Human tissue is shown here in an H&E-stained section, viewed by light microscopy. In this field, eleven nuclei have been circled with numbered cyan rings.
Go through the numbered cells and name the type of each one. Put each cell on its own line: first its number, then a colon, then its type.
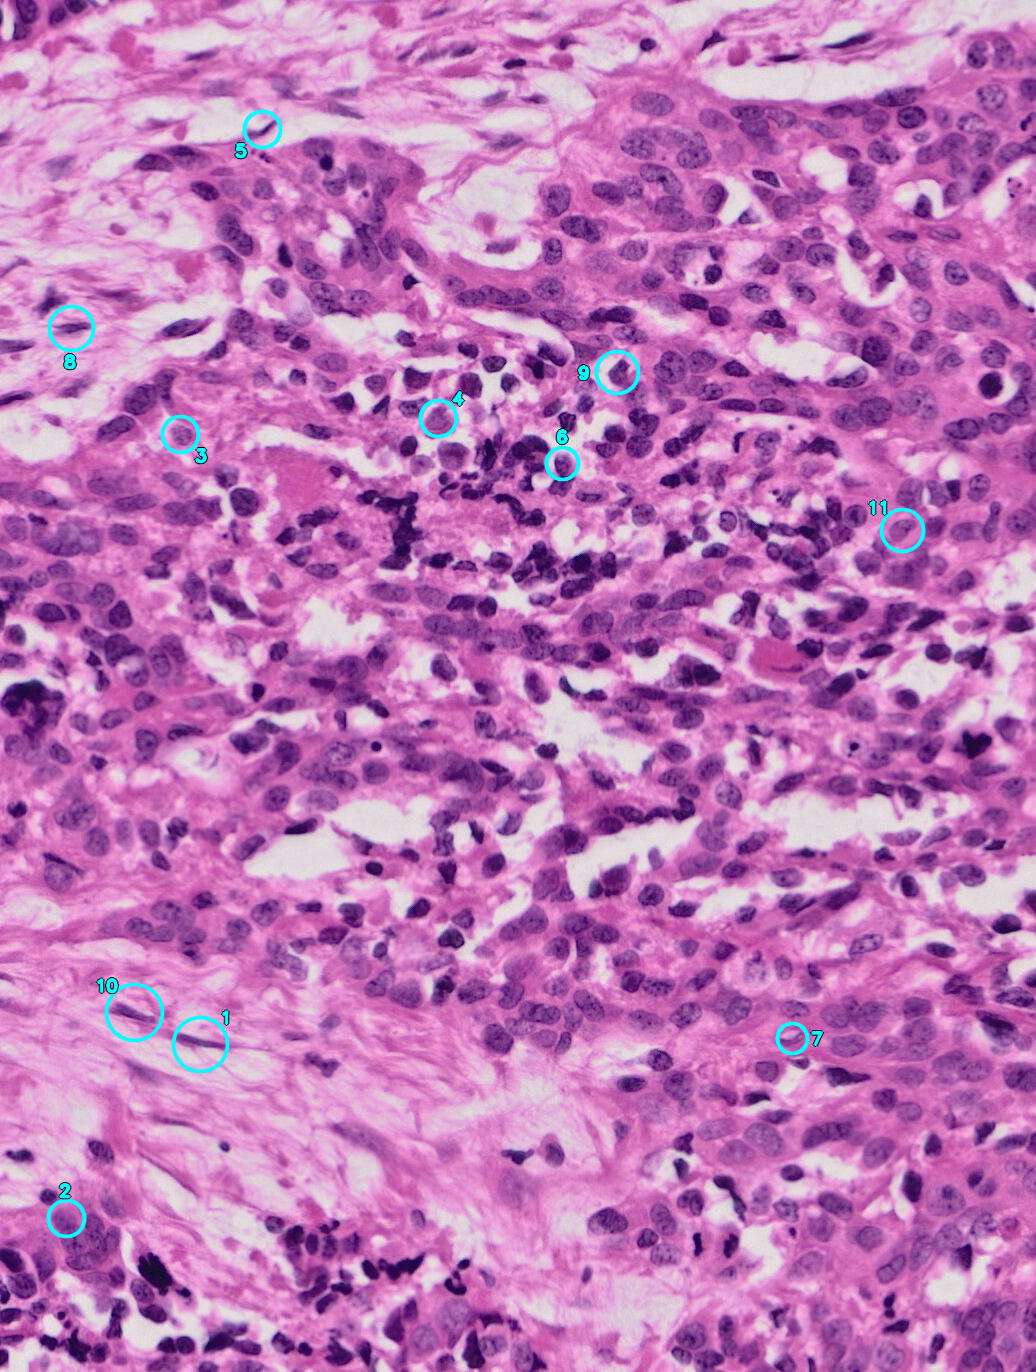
1: fibroblast
2: carcinoma cell
3: macrophage or monocyte
4: carcinoma cell
5: fibroblast
6: carcinoma cell
7: endothelial cell
8: fibroblast
9: carcinoma cell
10: fibroblast
11: macrophage or monocyte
